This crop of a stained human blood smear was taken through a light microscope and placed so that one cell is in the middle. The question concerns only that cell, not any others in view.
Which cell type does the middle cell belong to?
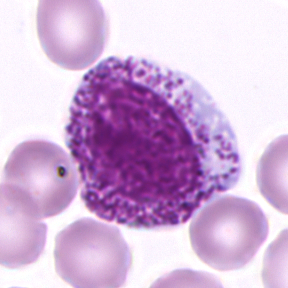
myelocyte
